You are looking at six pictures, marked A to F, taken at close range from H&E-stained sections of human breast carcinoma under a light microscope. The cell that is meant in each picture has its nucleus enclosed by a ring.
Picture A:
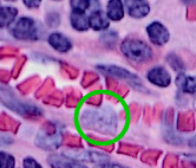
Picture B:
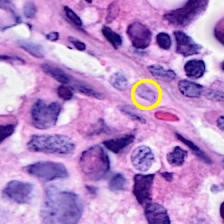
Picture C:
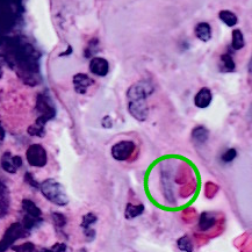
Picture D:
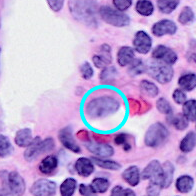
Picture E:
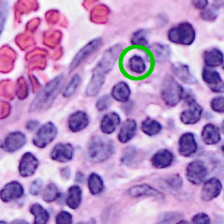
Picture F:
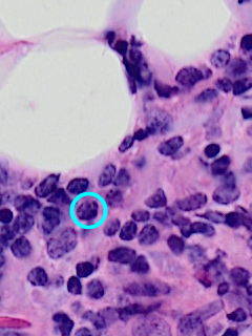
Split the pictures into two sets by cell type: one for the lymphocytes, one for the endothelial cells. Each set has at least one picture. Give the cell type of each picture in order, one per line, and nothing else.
endothelial cell
endothelial cell
endothelial cell
endothelial cell
lymphocyte
lymphocyte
